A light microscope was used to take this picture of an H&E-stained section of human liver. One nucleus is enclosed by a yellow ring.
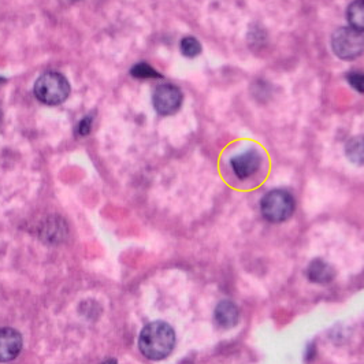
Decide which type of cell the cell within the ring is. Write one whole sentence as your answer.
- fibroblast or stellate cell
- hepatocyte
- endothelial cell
The category to which the cell within the ring belongs is that of an endothelial cell.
